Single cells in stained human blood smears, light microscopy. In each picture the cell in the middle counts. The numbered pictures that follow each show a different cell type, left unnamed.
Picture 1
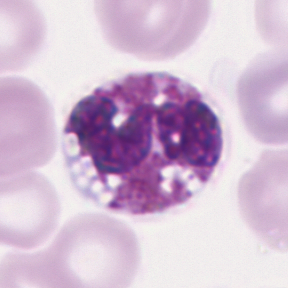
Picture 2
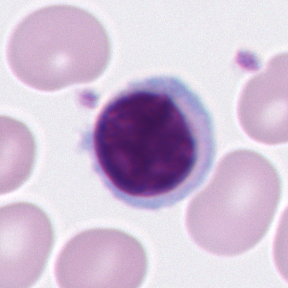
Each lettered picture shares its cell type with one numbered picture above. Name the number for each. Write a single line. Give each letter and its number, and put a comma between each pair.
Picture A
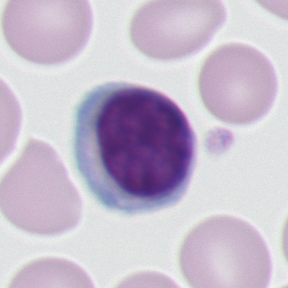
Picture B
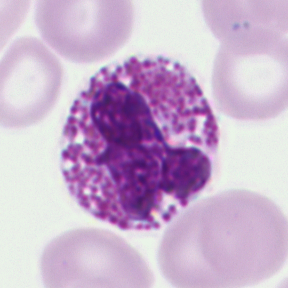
A 2, B 1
